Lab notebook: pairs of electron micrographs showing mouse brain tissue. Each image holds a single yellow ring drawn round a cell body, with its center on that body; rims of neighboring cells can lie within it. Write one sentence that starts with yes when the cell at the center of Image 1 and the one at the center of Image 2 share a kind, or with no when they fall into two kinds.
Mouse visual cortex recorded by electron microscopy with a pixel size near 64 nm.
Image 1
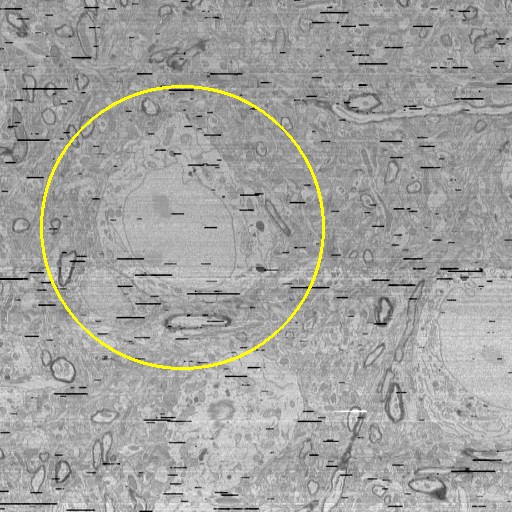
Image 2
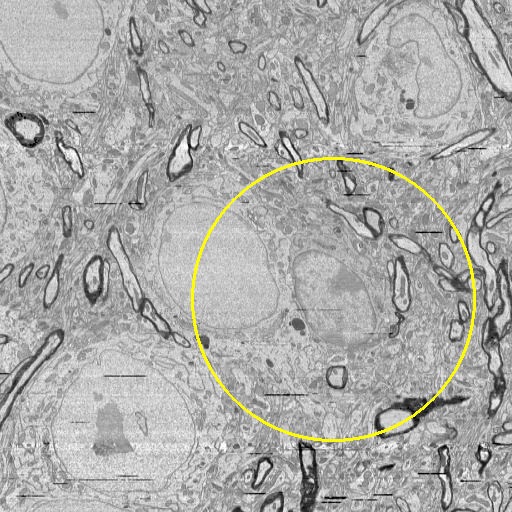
No, the centered cell in Image 1 and the centered cell in Image 2 are of two kinds.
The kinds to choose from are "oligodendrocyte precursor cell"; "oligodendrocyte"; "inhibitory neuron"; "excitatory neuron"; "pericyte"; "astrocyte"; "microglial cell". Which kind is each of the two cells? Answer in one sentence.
Of the two, the first cell is an excitatory neuron and the second cell is an oligodendrocyte.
